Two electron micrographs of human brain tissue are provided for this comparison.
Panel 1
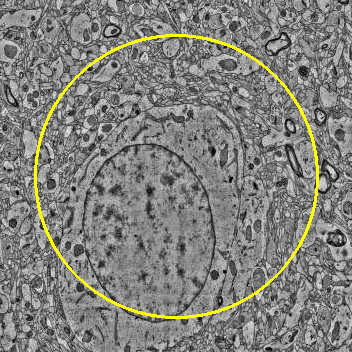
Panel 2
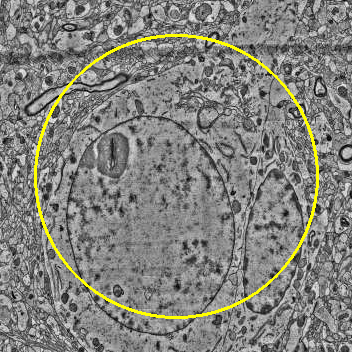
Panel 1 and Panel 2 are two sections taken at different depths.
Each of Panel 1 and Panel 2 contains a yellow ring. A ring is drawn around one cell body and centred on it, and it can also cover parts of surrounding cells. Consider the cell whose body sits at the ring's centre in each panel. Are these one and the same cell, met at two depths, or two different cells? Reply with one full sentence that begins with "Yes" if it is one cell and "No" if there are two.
Yes, the two rings belong to one cell, not to two.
